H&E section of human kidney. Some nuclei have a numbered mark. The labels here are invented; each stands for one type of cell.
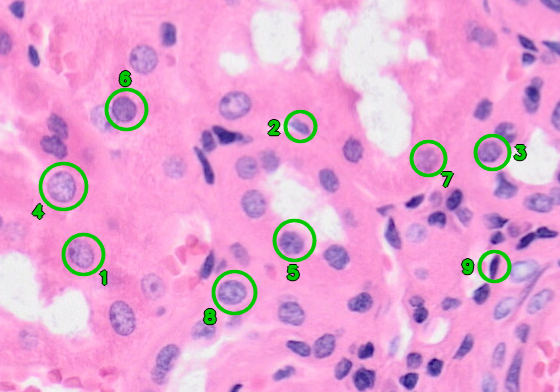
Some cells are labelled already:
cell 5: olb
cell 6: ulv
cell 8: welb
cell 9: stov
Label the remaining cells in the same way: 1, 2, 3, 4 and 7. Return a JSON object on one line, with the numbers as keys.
{"1": "ulv", "2": "stov", "3": "welb", "4": "ulv", "7": "ulv"}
